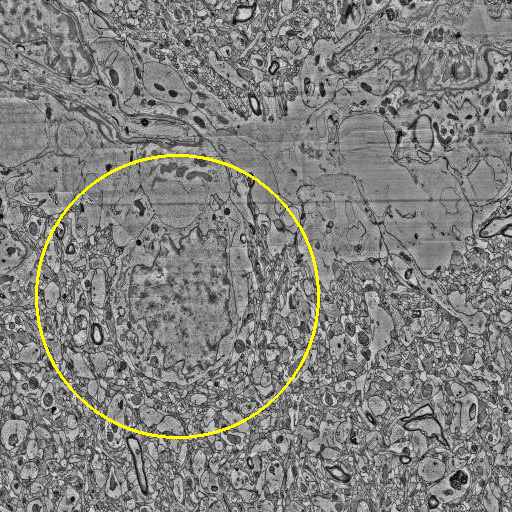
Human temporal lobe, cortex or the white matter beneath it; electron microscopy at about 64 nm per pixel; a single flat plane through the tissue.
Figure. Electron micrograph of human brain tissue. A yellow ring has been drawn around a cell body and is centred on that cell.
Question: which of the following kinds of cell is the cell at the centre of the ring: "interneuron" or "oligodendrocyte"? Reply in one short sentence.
The cell at the centre of the ring is an interneuron.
